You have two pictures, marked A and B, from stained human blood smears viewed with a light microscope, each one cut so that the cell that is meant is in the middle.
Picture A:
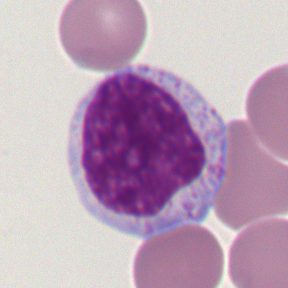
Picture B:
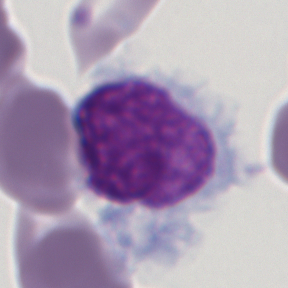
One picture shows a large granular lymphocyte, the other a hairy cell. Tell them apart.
A: large granular lymphocyte
B: hairy cell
